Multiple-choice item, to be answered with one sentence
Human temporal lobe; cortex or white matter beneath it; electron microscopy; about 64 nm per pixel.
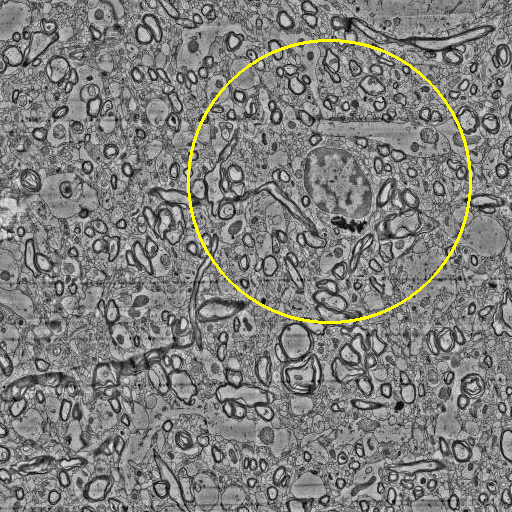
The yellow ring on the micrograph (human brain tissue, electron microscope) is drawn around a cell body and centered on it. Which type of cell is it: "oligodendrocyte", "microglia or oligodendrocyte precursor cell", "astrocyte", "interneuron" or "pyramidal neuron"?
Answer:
The ring is centered on a microglial cell or oligodendrocyte precursor cell.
